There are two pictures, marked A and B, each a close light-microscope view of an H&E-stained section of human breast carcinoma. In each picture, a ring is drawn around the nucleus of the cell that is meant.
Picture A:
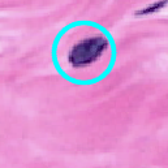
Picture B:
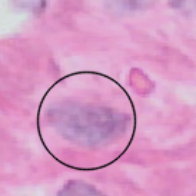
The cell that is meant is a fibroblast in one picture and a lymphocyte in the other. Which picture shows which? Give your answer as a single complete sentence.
It is picture A that shows a lymphocyte, and picture B that shows a fibroblast.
